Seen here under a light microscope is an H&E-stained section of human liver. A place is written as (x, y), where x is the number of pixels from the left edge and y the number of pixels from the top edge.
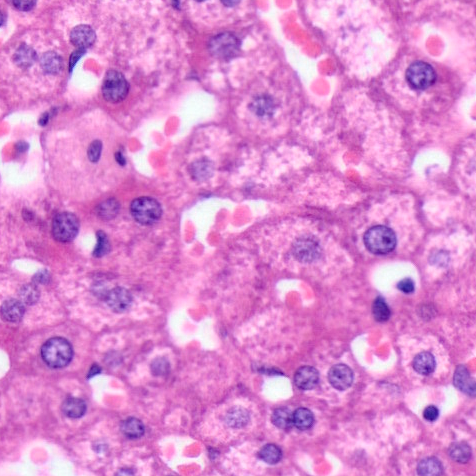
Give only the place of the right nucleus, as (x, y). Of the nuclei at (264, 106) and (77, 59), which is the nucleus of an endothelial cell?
(77, 59)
